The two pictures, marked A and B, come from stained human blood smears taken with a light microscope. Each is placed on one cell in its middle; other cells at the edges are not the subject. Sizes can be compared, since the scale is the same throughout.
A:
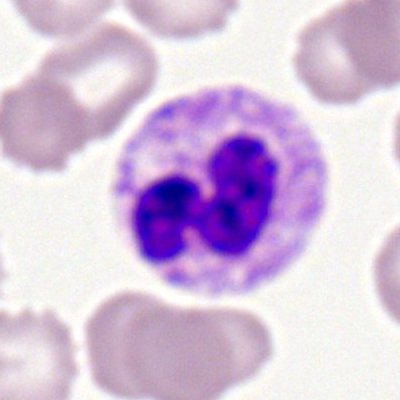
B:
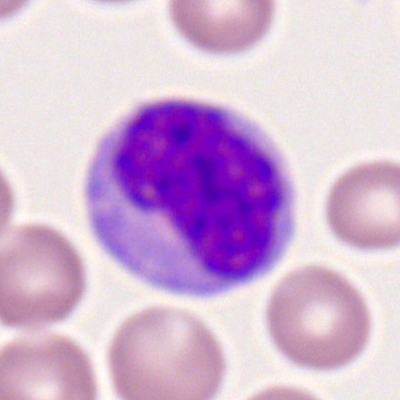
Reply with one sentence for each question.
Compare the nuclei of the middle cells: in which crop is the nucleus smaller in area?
Smaller is the nucleus in picture A, and the other is about 1.5 times as large in area.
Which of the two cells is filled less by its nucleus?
Of the two, the nucleus in picture A leaves more room for cytoplasm.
